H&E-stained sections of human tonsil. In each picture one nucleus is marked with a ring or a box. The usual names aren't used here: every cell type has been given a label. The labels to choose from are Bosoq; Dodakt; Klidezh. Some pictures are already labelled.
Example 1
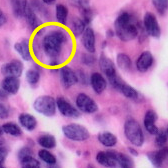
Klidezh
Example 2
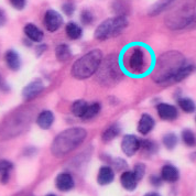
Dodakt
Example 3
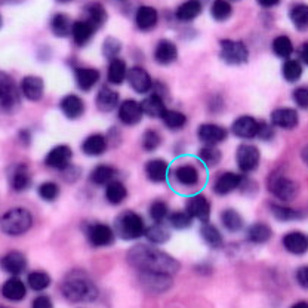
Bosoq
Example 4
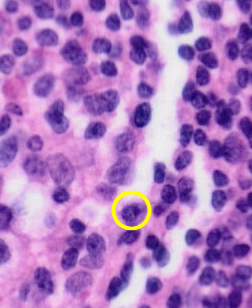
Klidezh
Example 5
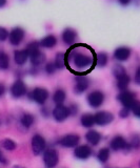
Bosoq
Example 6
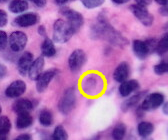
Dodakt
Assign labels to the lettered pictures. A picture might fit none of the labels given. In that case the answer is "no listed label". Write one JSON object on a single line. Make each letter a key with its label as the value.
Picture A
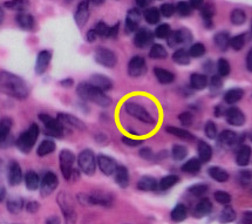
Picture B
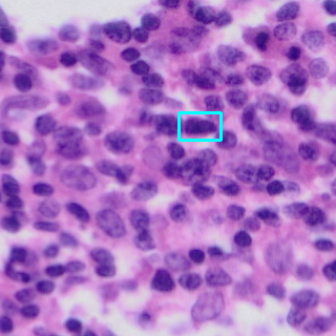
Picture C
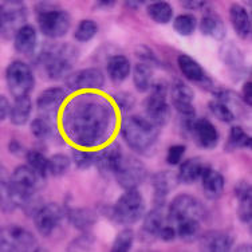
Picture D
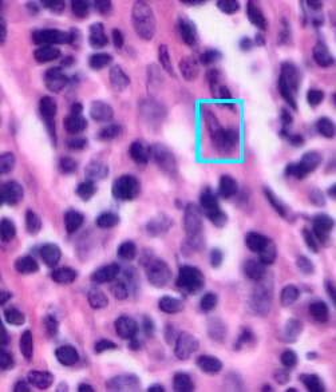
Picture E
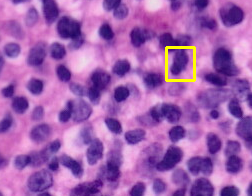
{"A": "Dodakt", "B": "Klidezh", "C": "Klidezh", "D": "Dodakt", "E": "Klidezh"}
